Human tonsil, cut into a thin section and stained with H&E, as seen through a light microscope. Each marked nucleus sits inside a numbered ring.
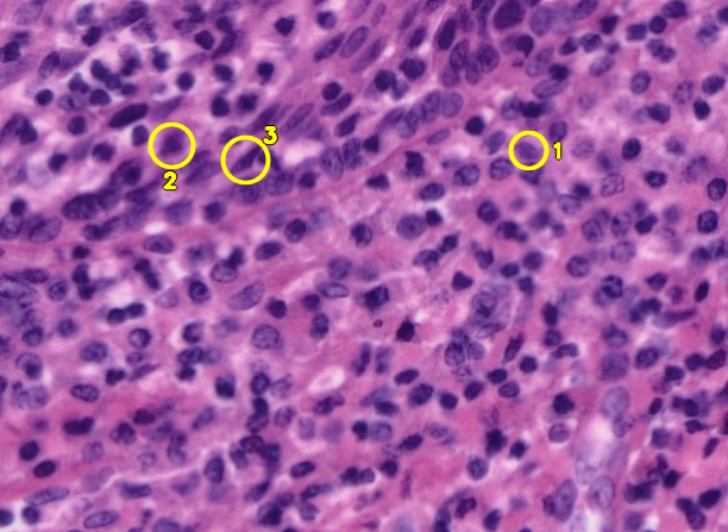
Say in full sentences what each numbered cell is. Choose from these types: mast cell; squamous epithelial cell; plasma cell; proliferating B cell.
Cell 1 is a plasma cell. Cells 2 and 3 are squamous epithelial cells.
